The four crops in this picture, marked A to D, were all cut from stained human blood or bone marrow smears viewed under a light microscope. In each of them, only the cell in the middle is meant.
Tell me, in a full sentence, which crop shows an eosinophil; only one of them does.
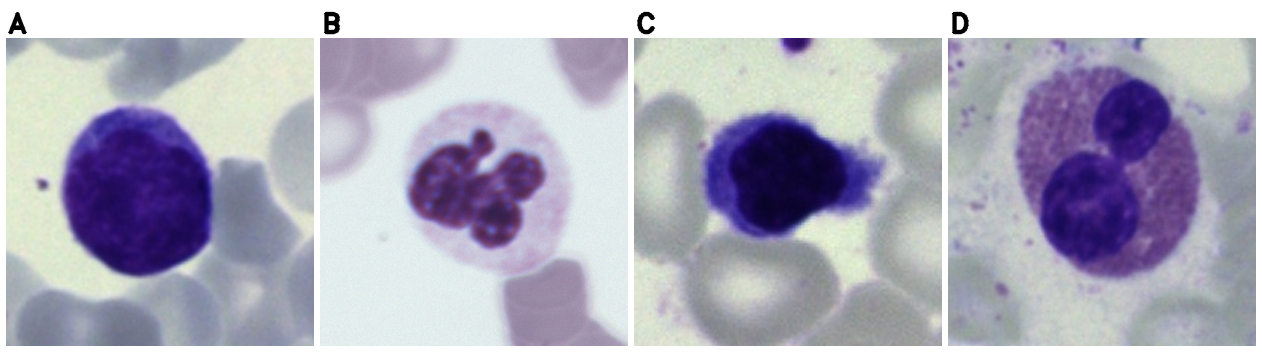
The correct choice is crop D, the one showing an eosinophil.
